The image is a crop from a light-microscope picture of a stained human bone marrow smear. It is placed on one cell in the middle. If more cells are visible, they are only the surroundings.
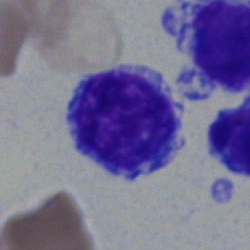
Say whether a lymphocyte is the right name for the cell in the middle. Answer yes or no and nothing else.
yes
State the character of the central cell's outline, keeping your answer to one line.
An irregular outline, ragged or marked by projections, surrounds this cell.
